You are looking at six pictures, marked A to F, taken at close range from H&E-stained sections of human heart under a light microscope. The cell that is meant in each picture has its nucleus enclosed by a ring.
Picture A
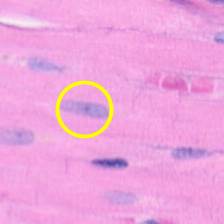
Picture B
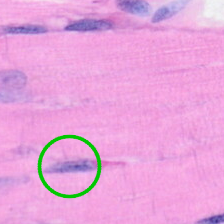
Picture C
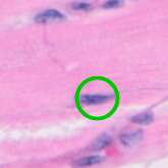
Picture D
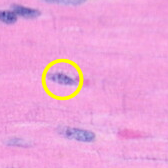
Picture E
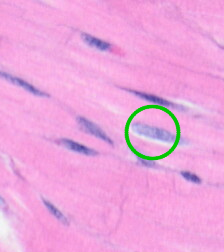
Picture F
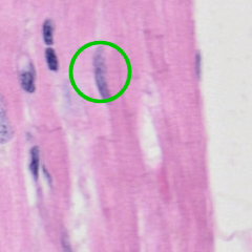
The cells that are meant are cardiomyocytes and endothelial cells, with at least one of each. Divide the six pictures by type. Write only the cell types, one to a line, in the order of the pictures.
cardiomyocyte
endothelial cell
endothelial cell
endothelial cell
cardiomyocyte
endothelial cell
